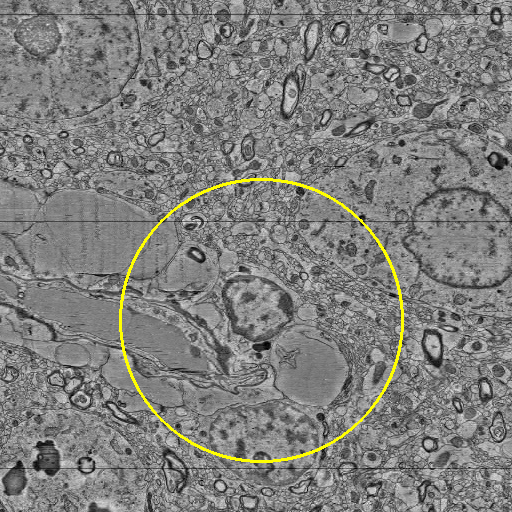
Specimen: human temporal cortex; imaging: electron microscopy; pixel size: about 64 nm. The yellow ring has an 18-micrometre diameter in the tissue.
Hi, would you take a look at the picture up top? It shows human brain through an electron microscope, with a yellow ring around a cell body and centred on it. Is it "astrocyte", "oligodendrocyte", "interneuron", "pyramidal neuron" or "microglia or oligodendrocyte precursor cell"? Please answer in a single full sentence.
The best fit for the cell in the middle of the ring is a microglial cell or oligodendrocyte precursor cell, I reckon.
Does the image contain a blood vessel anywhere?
Yes, a blood vessel can be seen.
